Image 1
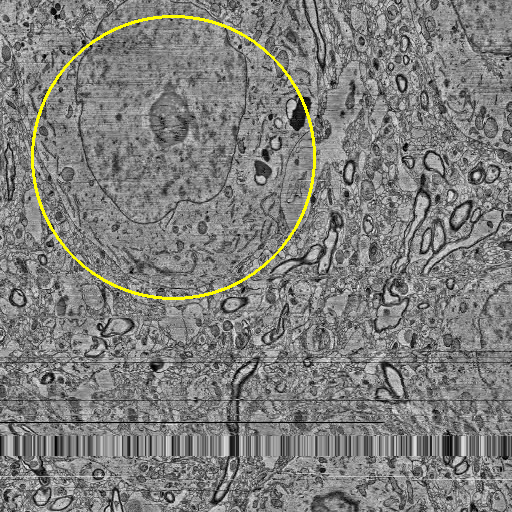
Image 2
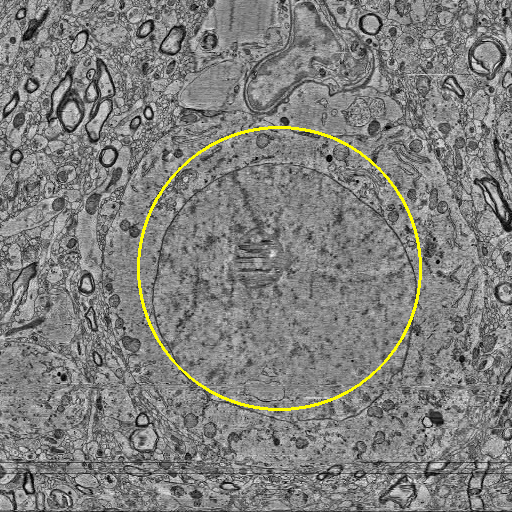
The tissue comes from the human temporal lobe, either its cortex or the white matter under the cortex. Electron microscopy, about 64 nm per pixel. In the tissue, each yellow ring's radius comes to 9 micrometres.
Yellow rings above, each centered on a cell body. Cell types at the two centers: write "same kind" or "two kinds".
same kind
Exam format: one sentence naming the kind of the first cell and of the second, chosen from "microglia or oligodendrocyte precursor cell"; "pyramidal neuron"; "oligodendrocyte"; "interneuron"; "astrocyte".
The second cell is a pyramidal neuron, just as the first is.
